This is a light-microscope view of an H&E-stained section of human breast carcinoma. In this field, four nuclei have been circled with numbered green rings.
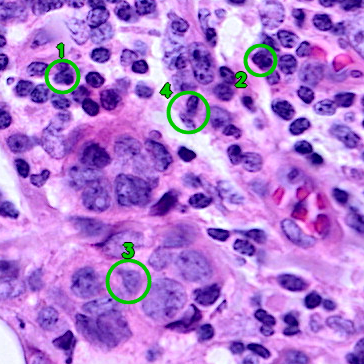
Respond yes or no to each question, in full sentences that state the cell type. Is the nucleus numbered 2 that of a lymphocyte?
Yes, it is a lymphocyte that carries the number 2.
